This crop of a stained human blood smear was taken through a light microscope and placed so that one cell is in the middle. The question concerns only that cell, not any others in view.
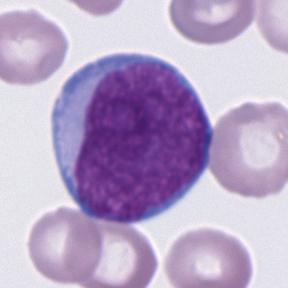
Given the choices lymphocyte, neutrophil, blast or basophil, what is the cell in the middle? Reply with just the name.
blast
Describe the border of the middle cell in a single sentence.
Worth noting that the cell border is smooth and lacks projections.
